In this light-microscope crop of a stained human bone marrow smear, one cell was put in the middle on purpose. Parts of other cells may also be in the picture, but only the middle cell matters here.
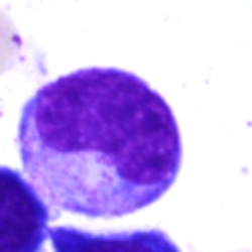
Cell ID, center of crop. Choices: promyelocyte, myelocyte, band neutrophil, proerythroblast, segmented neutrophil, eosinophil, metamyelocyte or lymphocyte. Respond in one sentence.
The cell the crop is centered on is a metamyelocyte.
